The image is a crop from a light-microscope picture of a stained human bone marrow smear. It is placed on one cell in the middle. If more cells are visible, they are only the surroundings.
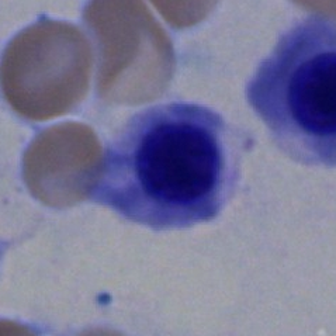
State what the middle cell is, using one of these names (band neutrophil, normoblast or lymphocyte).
normoblast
